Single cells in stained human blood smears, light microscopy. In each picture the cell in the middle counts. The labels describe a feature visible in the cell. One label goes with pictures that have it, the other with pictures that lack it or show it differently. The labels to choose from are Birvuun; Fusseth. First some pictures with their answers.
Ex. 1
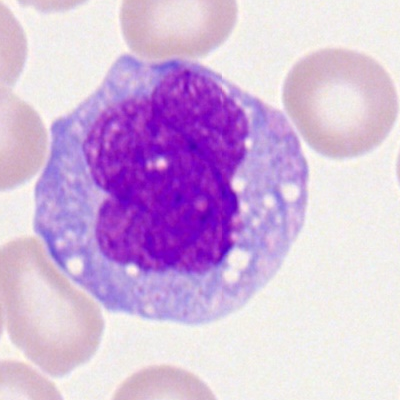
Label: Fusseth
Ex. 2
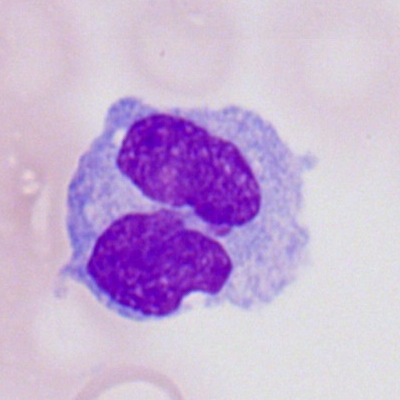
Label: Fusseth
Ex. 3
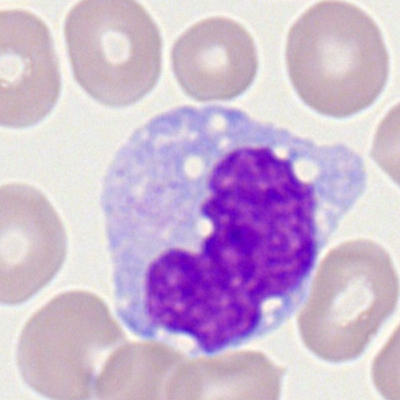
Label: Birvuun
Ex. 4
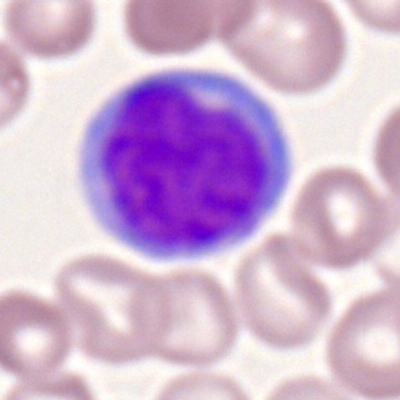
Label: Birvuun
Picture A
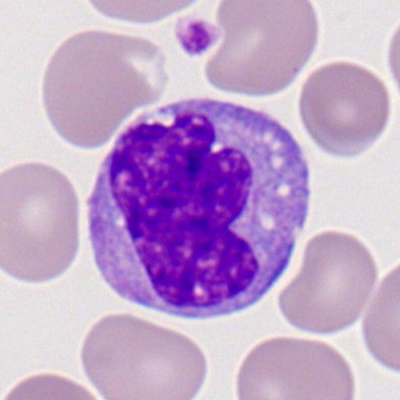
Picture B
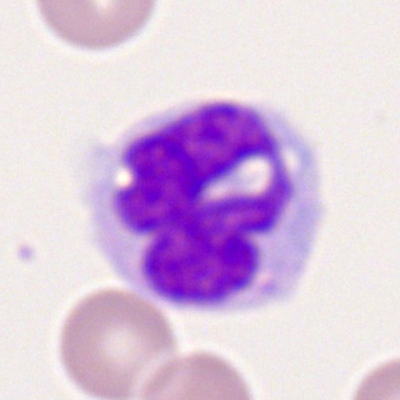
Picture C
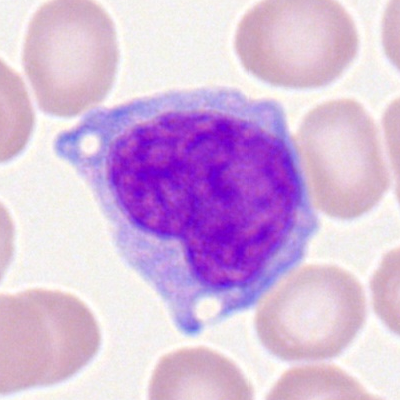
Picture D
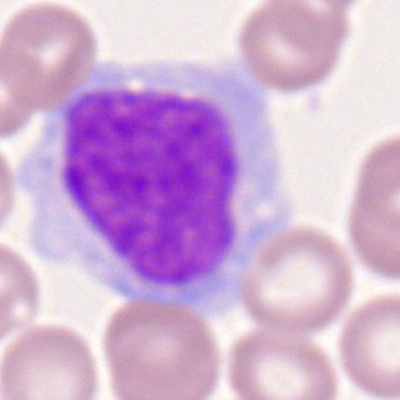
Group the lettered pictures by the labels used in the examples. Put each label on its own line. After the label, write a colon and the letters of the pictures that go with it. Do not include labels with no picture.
Birvuun: C, D
Fusseth: A, B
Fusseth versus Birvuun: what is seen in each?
Fusseth, lobed nucleus; Birvuun, single compact nucleus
